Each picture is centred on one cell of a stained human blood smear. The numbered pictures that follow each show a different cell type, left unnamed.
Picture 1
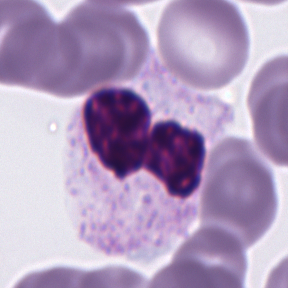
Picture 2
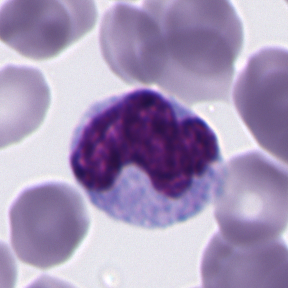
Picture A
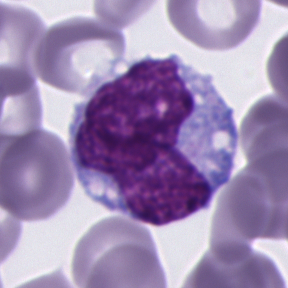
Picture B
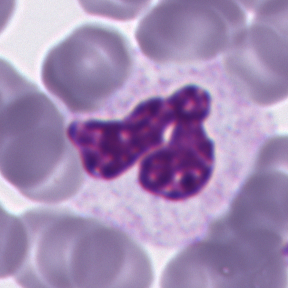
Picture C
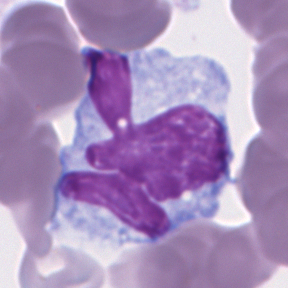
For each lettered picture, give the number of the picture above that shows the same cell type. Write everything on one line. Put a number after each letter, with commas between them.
A 2, B 1, C 2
